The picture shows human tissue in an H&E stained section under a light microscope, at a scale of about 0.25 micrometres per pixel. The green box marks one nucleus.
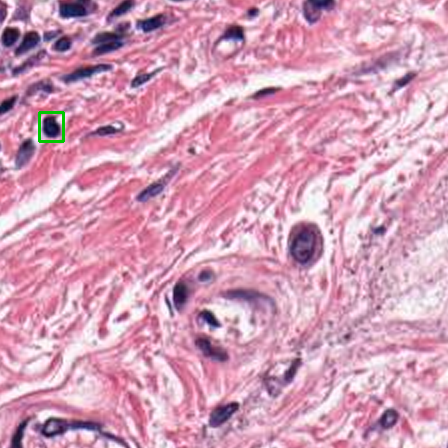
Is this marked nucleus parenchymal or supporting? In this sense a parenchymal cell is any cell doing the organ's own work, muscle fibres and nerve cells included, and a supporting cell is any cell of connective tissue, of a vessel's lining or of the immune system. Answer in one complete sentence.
The marked nucleus, in this section, is the nucleus of a supporting cell.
